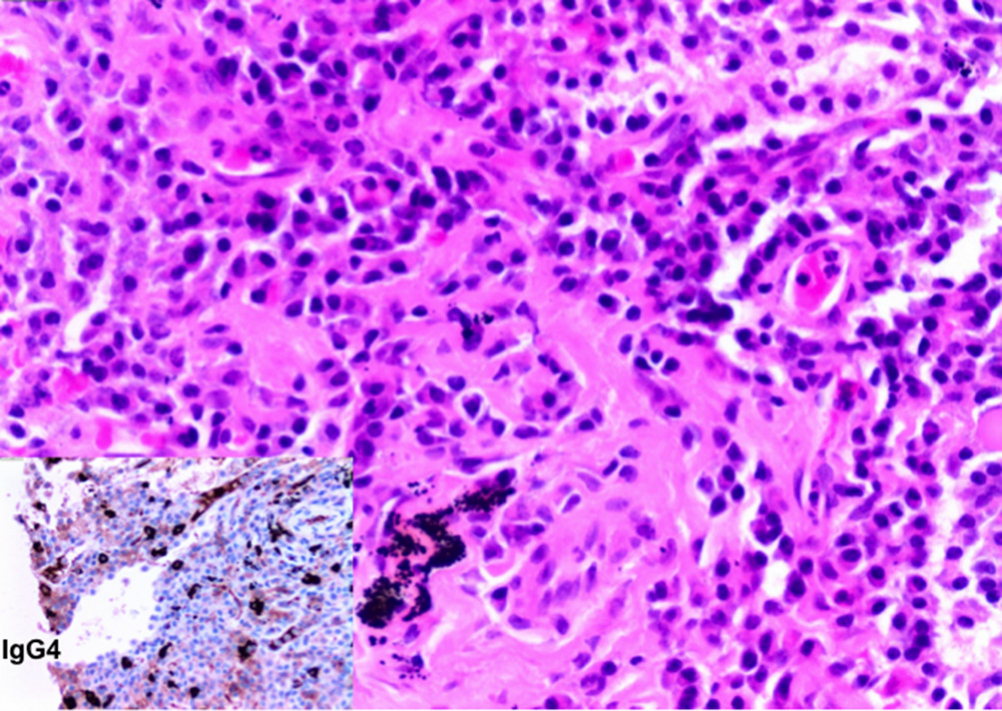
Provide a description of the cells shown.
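This is a dense chronic inflammatory infiltrate made up of lymphocytes and plasma cells, the plasma cells recognisable by their round, eccentric dark nuclei and a rim of purple-pink cytoplasm. The cells are packed between pale pink bands of interstitial fibrous tissue, and clumps of black granular material lie within the fibrous stroma. In the inset, many scattered cells stain dark brown among blue-counterstained nuclei.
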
